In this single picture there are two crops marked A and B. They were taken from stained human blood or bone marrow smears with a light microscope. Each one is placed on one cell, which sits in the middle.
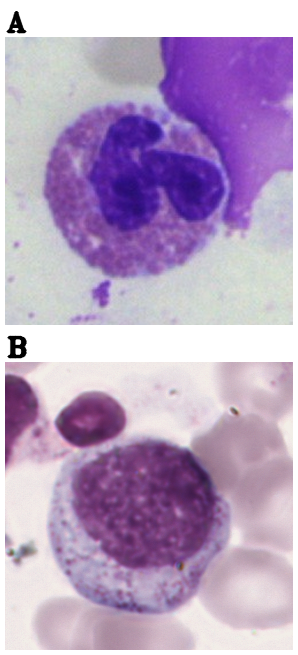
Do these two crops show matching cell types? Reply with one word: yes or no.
no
